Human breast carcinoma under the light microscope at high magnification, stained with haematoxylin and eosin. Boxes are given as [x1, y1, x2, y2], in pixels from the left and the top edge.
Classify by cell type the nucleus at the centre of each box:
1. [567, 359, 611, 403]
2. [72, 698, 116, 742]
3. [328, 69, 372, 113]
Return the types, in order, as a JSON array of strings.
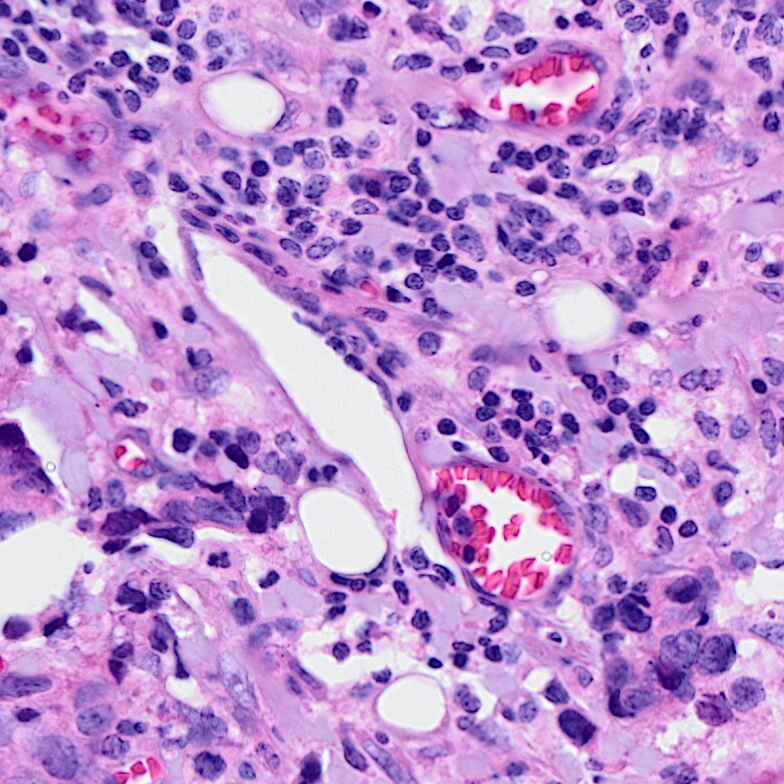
["lymphocyte", "carcinoma cell", "lymphocyte"]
